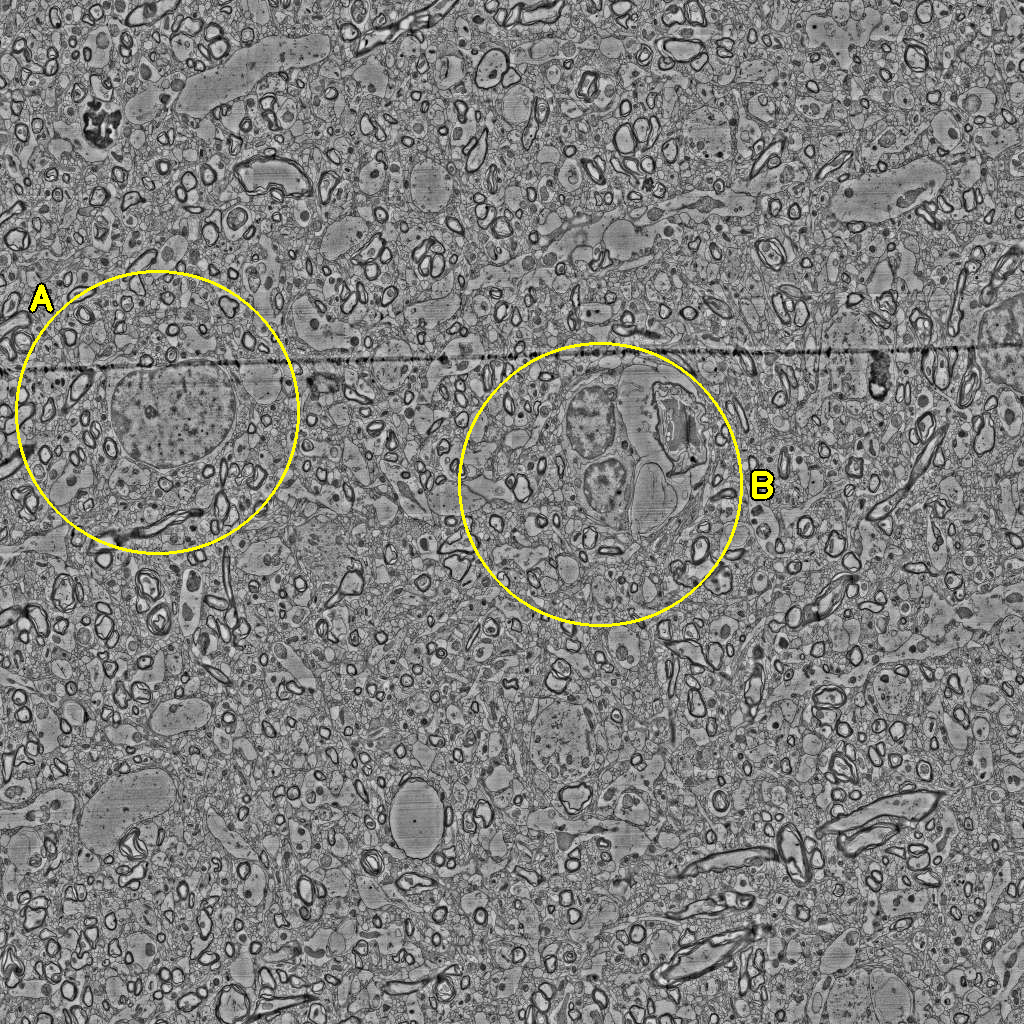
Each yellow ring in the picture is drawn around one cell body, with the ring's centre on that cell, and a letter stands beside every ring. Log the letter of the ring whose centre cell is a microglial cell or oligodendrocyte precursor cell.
A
